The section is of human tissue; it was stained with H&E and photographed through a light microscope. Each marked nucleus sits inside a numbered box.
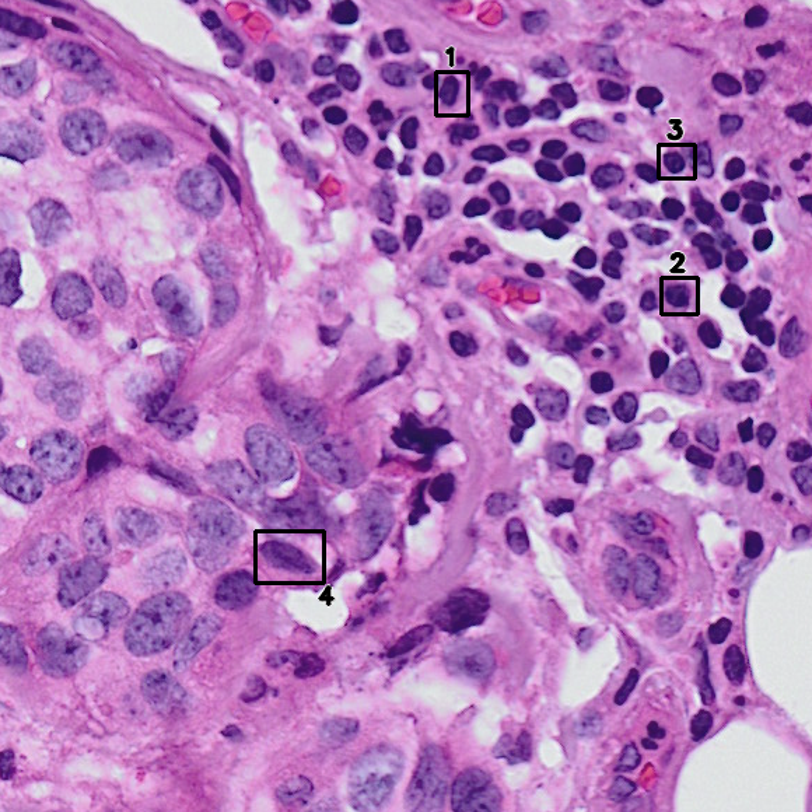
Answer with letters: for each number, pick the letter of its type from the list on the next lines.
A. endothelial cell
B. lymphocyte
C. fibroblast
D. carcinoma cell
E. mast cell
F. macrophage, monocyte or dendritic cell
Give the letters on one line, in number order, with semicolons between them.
B; B; B; D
